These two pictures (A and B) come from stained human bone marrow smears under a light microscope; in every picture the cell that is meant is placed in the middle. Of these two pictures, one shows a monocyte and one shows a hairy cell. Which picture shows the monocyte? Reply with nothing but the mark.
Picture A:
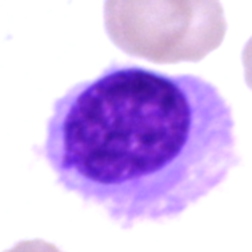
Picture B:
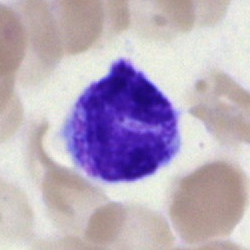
B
